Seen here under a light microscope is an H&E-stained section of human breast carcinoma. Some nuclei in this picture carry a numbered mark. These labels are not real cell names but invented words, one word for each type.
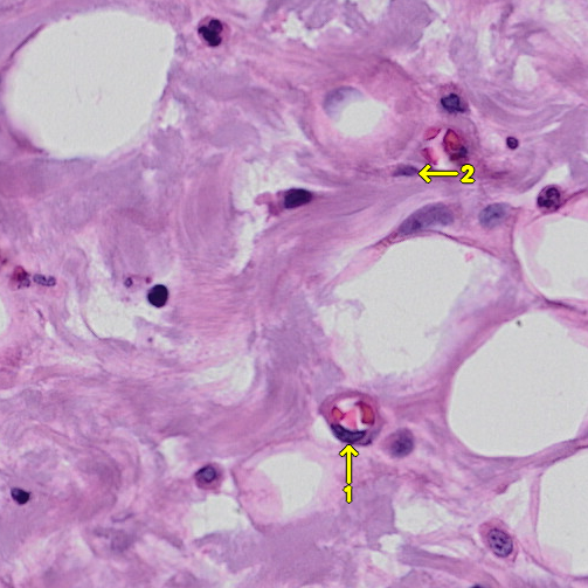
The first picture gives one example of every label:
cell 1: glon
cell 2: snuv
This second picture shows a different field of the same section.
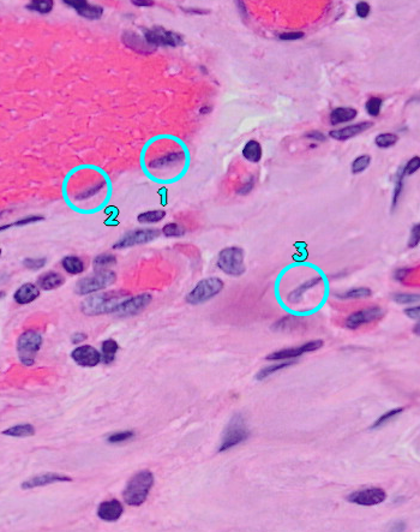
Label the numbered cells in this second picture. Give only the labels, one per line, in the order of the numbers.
glon
glon
snuv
